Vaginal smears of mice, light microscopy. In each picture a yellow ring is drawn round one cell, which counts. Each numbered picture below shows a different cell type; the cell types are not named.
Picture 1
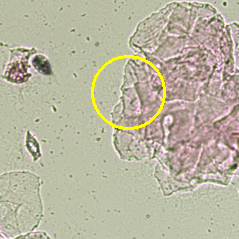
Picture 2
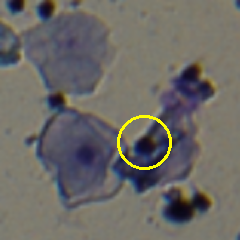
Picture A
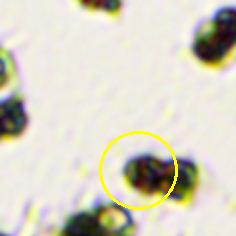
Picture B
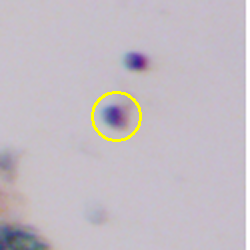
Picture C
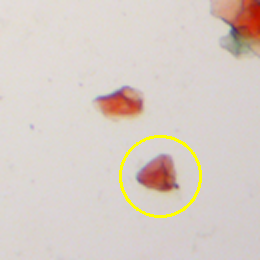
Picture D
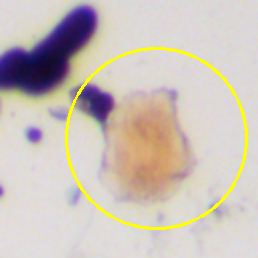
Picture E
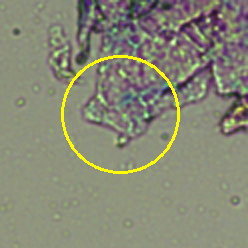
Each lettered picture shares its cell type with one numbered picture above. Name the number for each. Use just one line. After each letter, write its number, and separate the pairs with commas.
A 2, B 2, C 1, D 1, E 1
